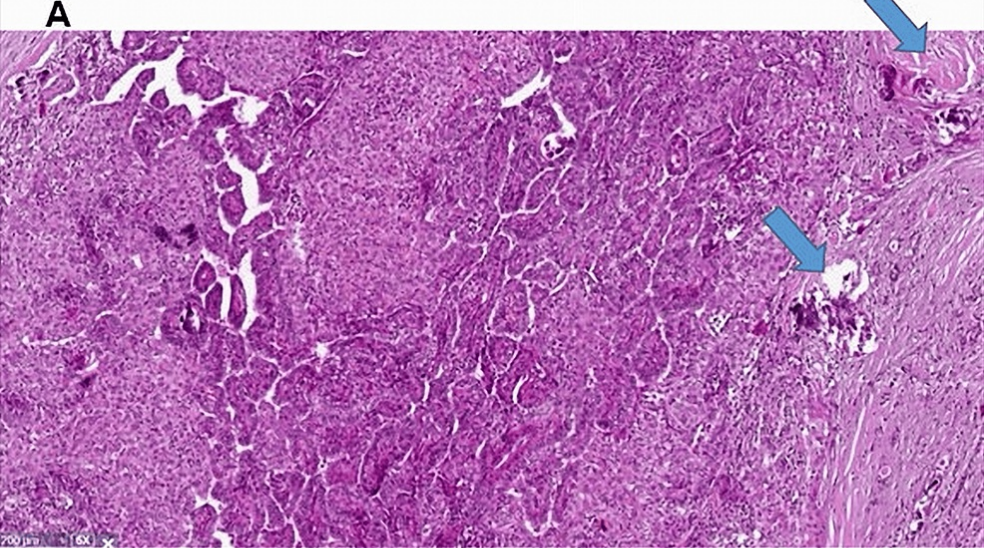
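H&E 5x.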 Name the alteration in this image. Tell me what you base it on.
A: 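Crowded epithelial tissue is arranged in branching frond-like structures separated by narrow clefts. Scattered dark purple calcified clumps are present. Pale pink fibrous stroma borders the tumour at the right. That points to this answer: papillary carcinoma.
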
